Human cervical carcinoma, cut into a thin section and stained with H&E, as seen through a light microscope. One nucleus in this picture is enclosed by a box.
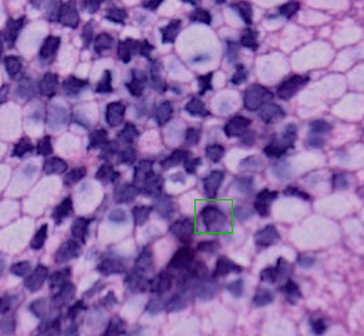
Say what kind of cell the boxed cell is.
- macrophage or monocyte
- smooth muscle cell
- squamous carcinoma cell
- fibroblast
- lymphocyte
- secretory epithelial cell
secretory epithelial cell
